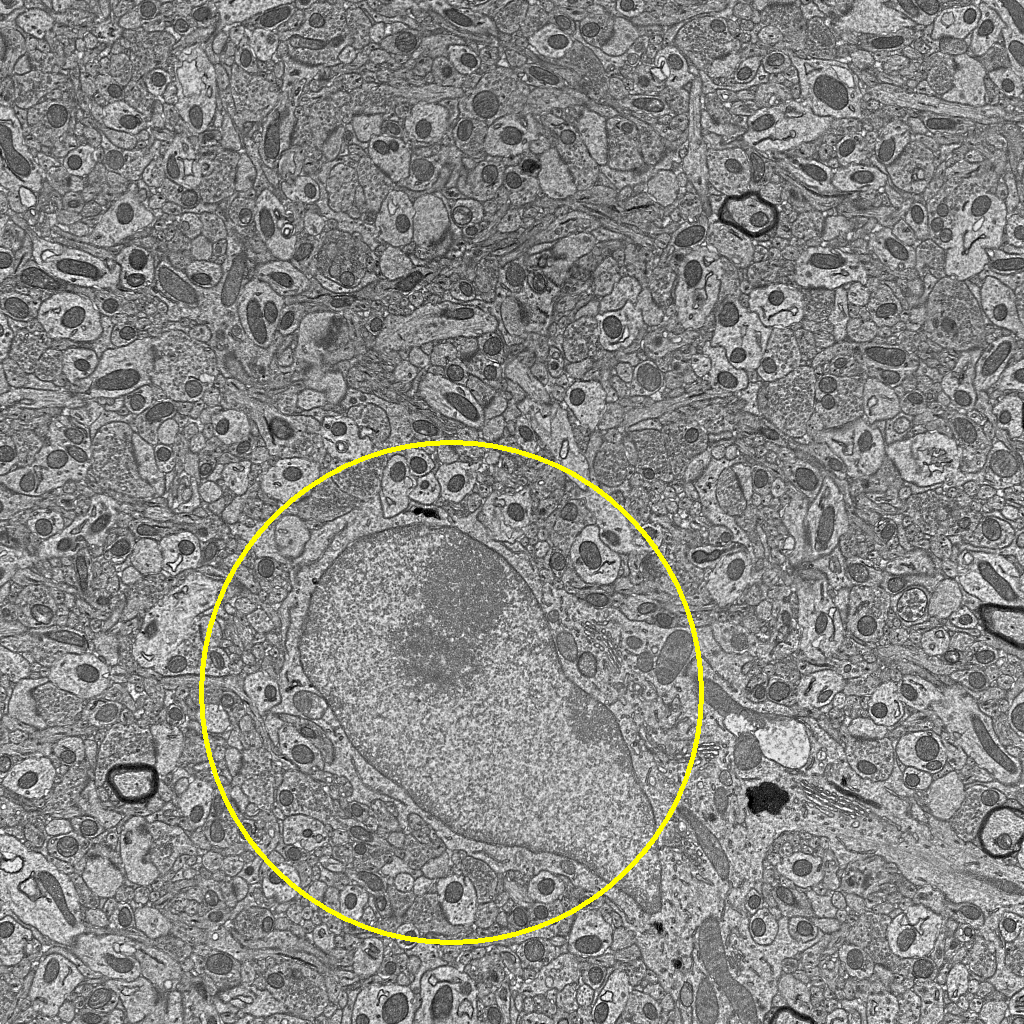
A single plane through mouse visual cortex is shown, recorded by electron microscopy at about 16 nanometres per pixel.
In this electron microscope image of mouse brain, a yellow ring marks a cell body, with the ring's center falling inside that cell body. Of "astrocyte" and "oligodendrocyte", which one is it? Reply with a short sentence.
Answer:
It is an astrocyte at the center of the ring.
